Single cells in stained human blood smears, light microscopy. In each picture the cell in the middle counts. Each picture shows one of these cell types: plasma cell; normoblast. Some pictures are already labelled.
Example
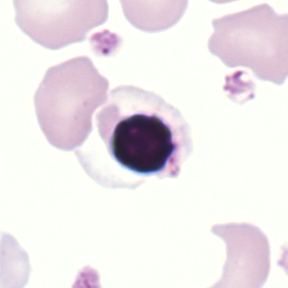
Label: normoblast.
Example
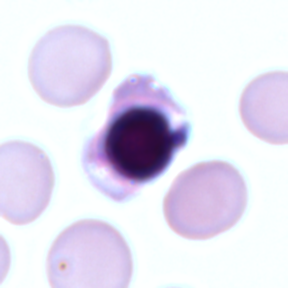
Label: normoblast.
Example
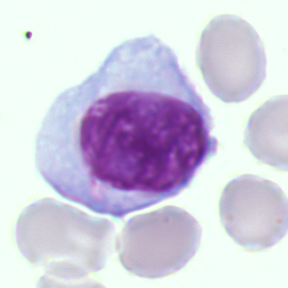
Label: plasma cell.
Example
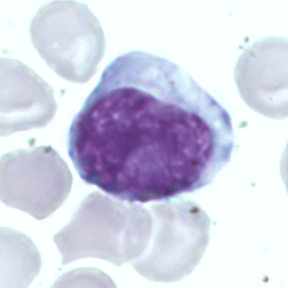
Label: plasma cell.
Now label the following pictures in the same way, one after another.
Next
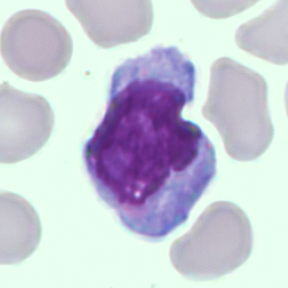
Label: plasma cell.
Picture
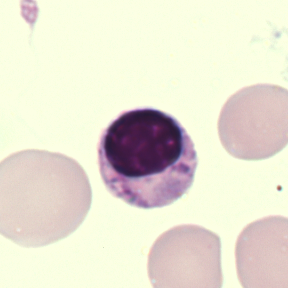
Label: normoblast.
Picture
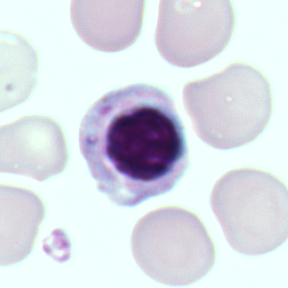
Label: normoblast.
